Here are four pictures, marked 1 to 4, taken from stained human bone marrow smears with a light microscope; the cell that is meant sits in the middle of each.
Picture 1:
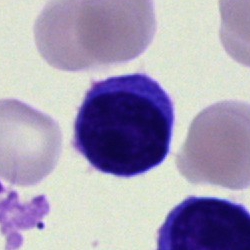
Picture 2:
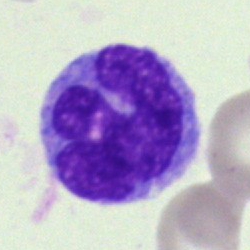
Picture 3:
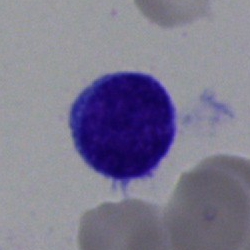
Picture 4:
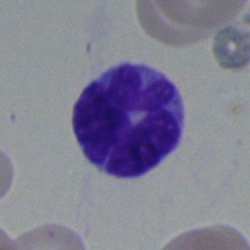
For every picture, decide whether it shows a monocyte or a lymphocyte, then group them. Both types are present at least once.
1: lymphocyte
2: monocyte
3: lymphocyte
4: monocyte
